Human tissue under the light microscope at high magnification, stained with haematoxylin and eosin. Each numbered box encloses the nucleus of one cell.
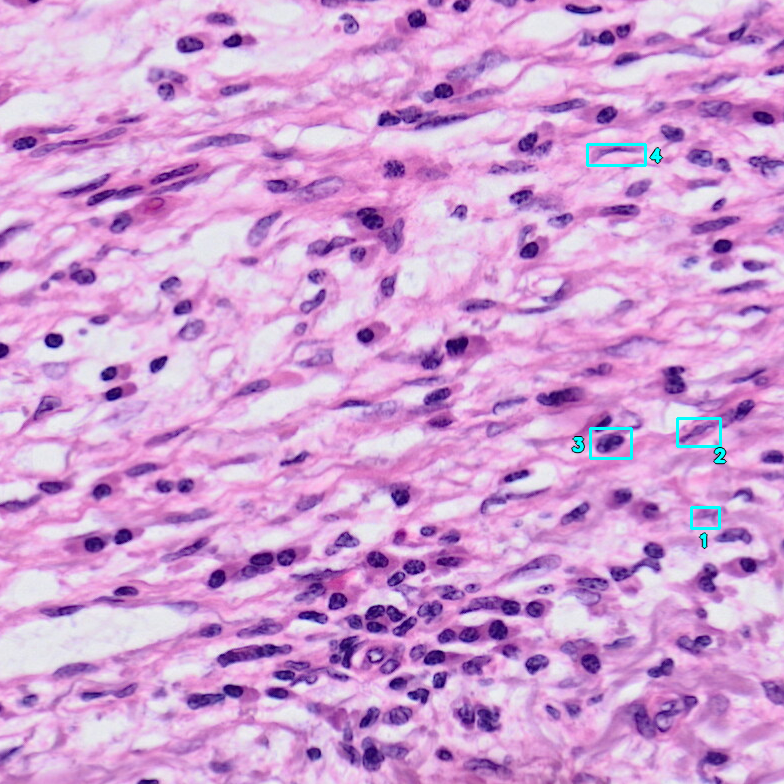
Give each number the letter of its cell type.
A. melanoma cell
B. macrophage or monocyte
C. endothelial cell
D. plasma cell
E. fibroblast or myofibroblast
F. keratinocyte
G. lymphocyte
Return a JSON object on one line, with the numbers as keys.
{"1": "E", "2": "E", "3": "G", "4": "E"}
